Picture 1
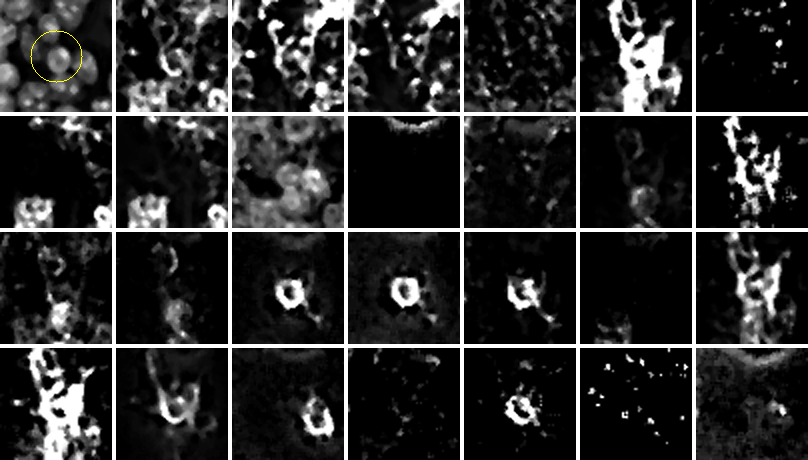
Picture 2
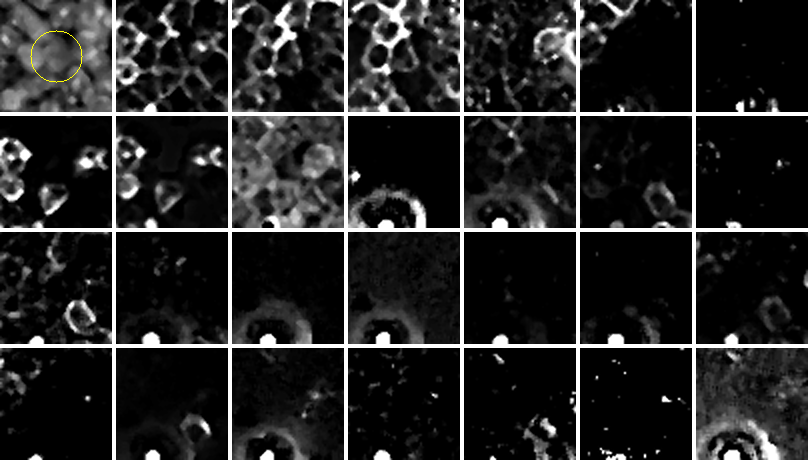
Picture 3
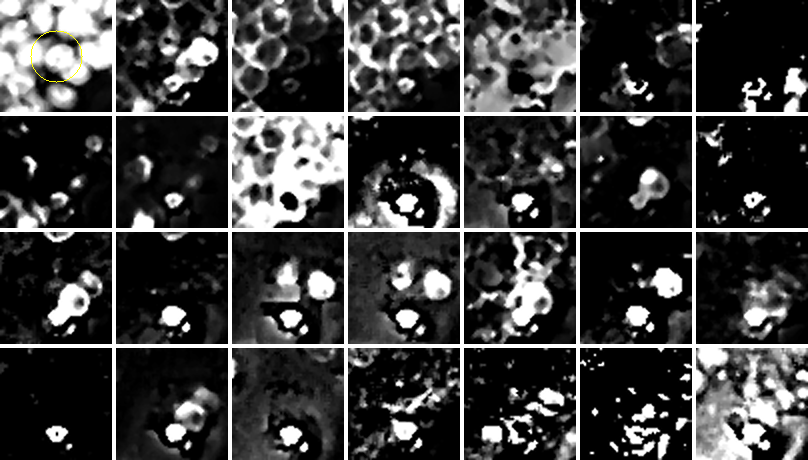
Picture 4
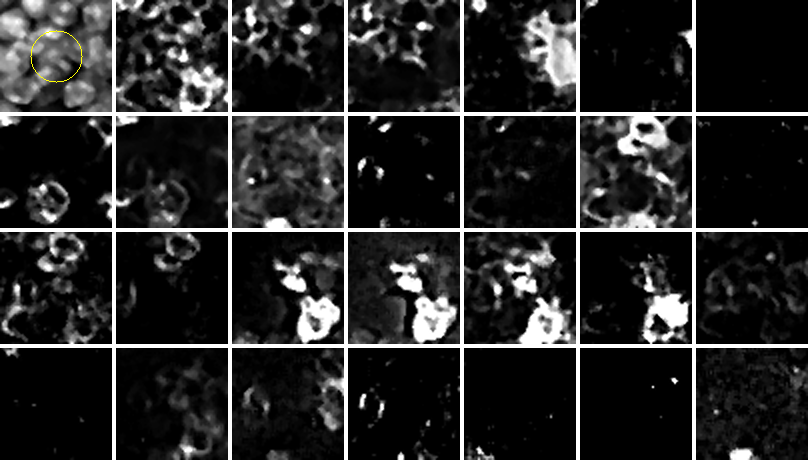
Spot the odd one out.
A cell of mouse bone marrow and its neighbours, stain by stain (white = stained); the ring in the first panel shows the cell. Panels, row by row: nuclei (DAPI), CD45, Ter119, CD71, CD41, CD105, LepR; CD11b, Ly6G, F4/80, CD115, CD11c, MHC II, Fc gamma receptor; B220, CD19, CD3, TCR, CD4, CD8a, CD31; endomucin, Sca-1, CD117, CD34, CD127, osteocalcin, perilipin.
Picture 2 (an erythroblast among CD4 T cells).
